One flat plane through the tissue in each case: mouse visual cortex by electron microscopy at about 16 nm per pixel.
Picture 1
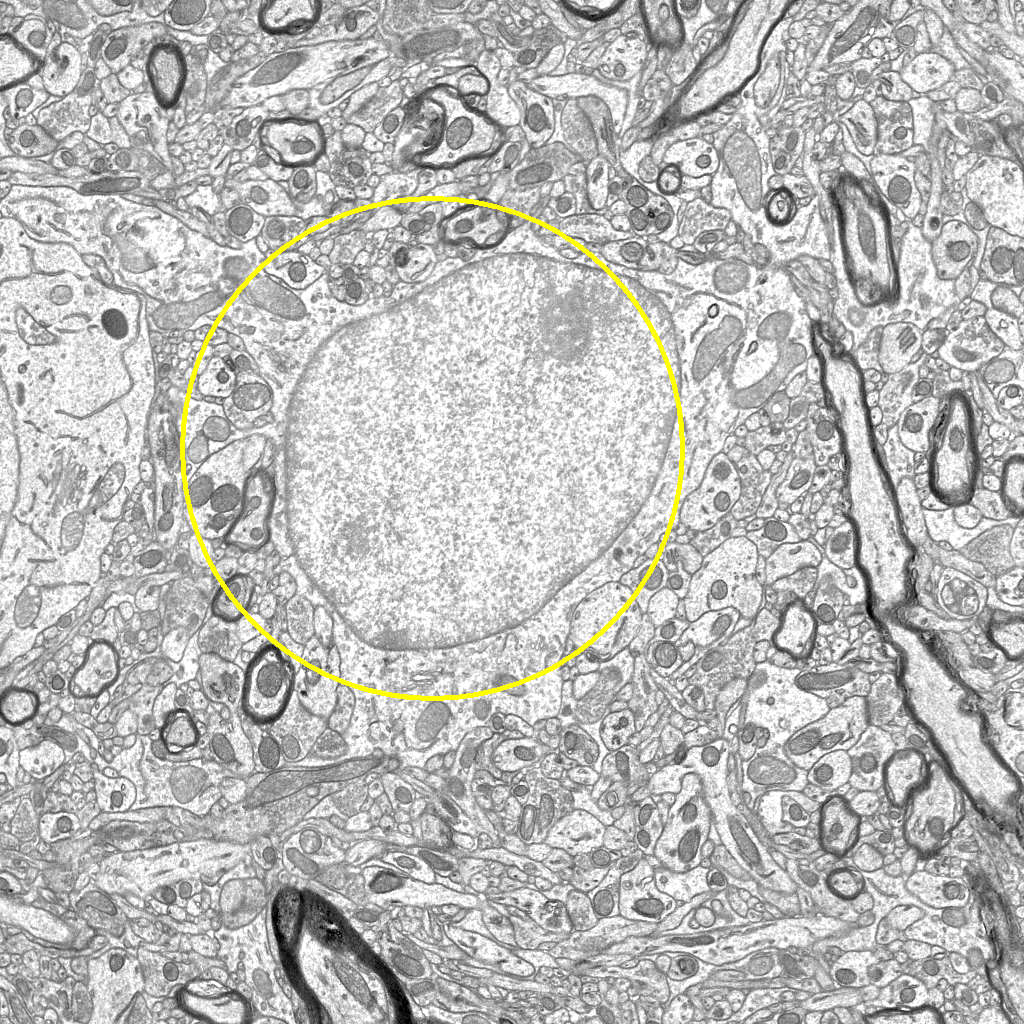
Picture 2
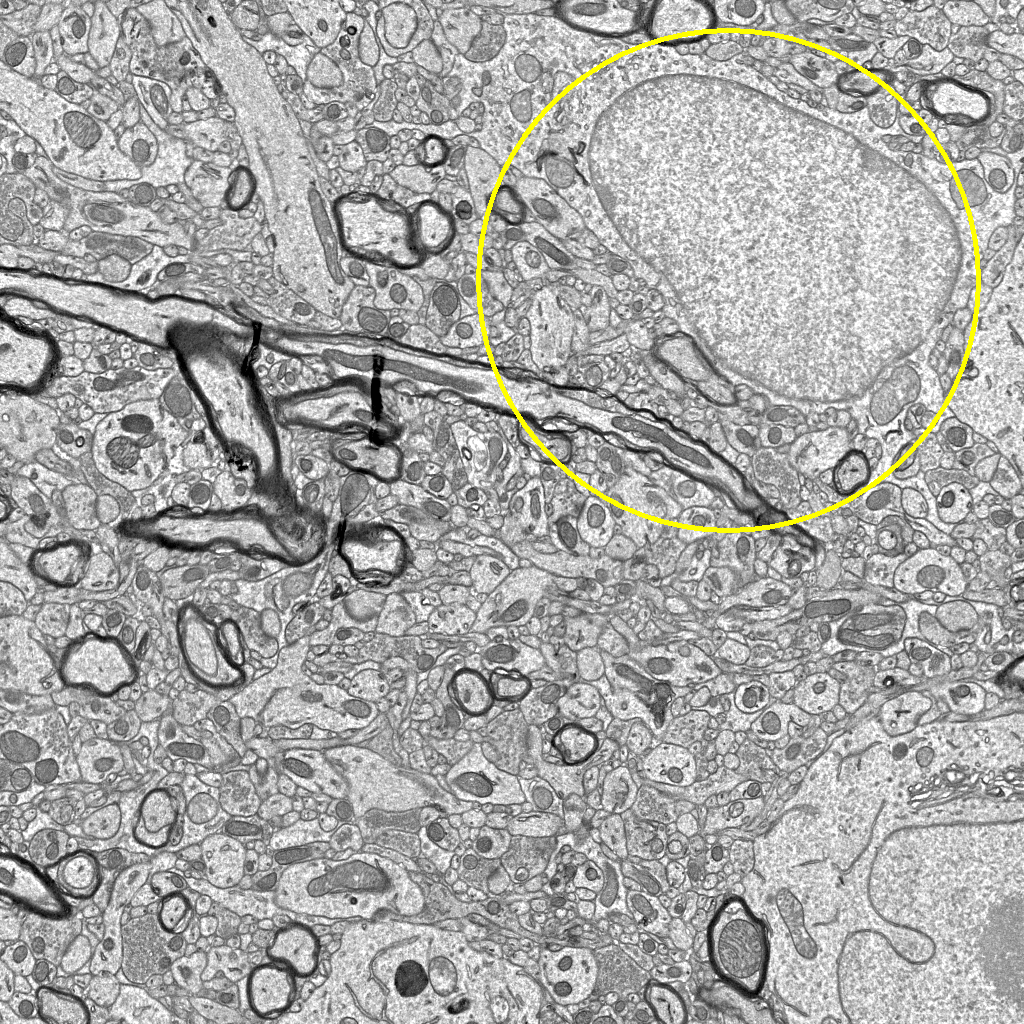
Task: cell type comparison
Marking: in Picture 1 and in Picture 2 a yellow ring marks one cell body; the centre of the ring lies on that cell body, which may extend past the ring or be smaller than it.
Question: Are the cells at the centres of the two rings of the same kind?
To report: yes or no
yes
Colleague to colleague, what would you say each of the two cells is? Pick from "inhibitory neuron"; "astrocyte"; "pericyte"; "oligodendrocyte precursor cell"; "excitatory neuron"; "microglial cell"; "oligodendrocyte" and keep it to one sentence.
Each cell at the centre of a ring is an astrocyte.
